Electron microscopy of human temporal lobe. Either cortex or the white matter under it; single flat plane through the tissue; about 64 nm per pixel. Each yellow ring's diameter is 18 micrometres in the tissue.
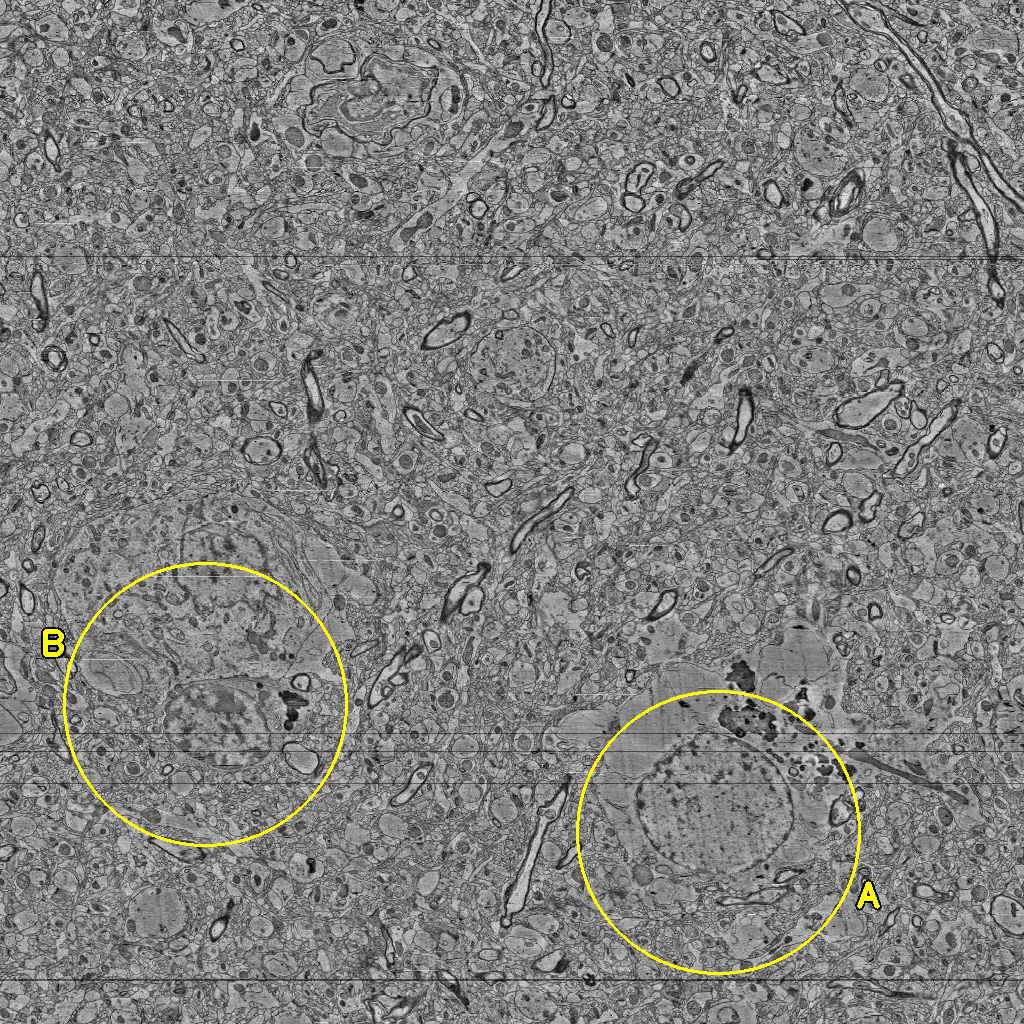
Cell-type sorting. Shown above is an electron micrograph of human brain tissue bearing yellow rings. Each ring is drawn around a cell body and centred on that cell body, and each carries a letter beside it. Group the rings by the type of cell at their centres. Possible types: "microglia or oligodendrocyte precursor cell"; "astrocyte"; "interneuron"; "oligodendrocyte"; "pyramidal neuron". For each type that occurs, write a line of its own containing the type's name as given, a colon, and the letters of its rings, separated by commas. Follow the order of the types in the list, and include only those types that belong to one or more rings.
astrocyte: A
oligodendrocyte: B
